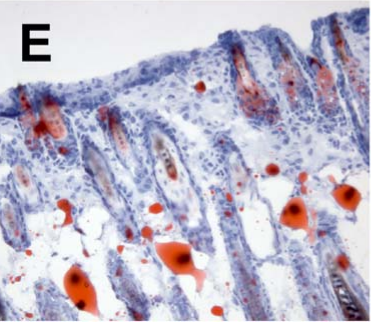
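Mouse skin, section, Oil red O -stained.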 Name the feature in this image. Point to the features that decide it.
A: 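Hair follicles. Many elongated epithelial columns run in parallel from the surface down into the dermis. Several of these columns contain hair shafts and red-stained material.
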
